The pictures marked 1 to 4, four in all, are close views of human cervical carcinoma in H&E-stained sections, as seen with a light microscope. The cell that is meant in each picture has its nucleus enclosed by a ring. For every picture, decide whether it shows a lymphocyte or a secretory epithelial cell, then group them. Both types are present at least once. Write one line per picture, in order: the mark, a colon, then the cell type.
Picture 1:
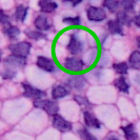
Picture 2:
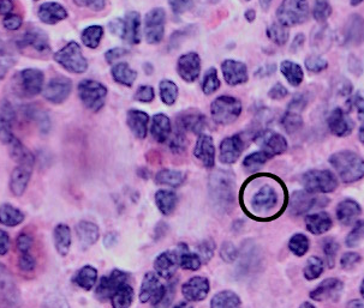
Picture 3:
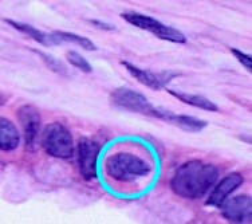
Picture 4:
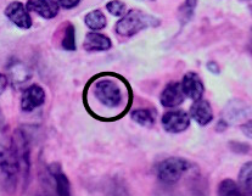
1: secretory epithelial cell
2: lymphocyte
3: secretory epithelial cell
4: lymphocyte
